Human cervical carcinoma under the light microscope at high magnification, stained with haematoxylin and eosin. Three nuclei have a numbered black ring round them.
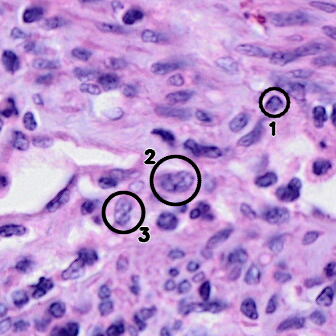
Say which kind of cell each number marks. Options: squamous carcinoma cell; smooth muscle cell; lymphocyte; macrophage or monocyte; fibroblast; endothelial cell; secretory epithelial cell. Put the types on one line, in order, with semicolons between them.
lymphocyte; macrophage or monocyte; macrophage or monocyte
